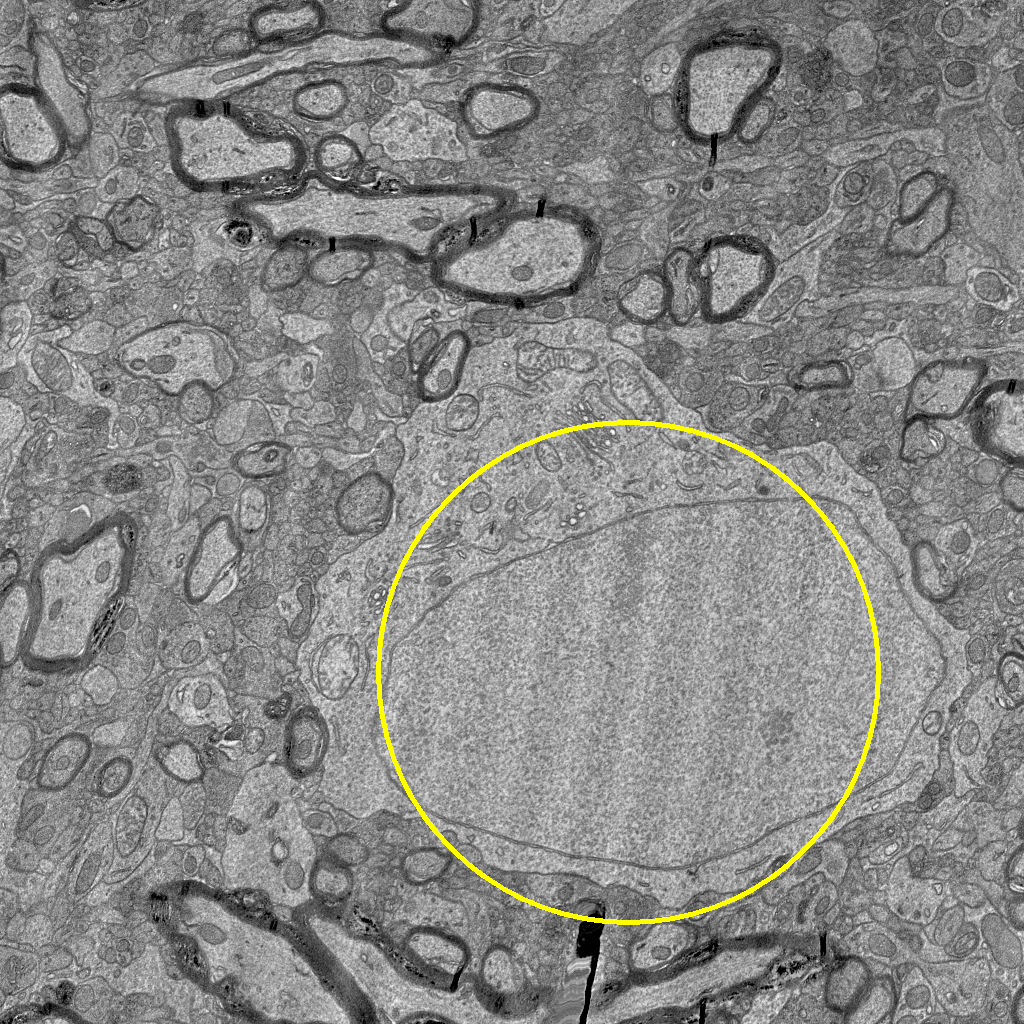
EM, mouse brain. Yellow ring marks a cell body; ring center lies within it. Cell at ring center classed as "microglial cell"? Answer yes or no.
no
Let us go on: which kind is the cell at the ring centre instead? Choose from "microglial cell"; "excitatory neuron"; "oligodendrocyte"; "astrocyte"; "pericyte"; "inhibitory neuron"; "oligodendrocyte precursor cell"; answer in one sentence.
So the cell at the centre is an excitatory neuron.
